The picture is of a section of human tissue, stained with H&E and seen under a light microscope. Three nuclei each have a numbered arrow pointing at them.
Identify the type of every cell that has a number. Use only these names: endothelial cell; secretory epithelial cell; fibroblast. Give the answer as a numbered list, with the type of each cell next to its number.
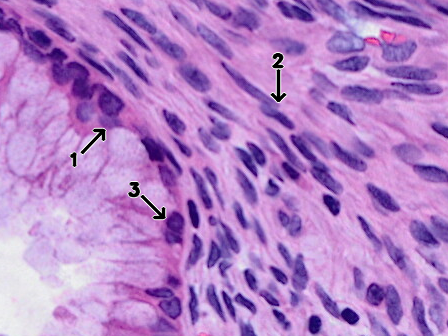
1. secretory epithelial cell
2. fibroblast
3. secretory epithelial cell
